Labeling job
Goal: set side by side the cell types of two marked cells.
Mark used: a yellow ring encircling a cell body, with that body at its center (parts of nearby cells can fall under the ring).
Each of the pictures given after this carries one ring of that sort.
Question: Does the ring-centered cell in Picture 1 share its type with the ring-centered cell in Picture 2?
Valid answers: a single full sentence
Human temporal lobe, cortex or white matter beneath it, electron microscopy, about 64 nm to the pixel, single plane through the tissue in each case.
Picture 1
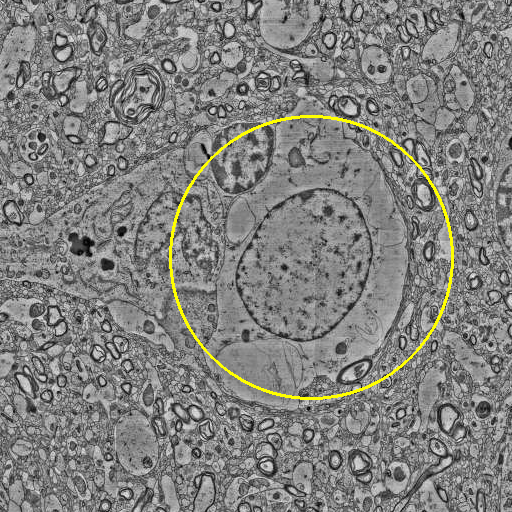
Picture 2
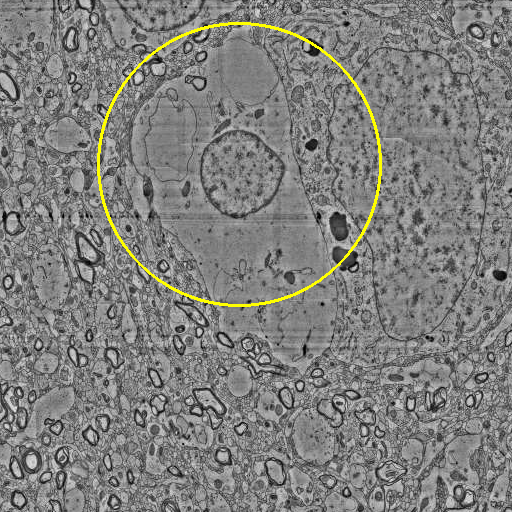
Yes, in Pictures 1 and 2 the cells at the ring centers share one type.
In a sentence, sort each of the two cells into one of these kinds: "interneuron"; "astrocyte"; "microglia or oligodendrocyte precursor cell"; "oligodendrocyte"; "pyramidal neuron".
In each picture the ringed cell is an astrocyte.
